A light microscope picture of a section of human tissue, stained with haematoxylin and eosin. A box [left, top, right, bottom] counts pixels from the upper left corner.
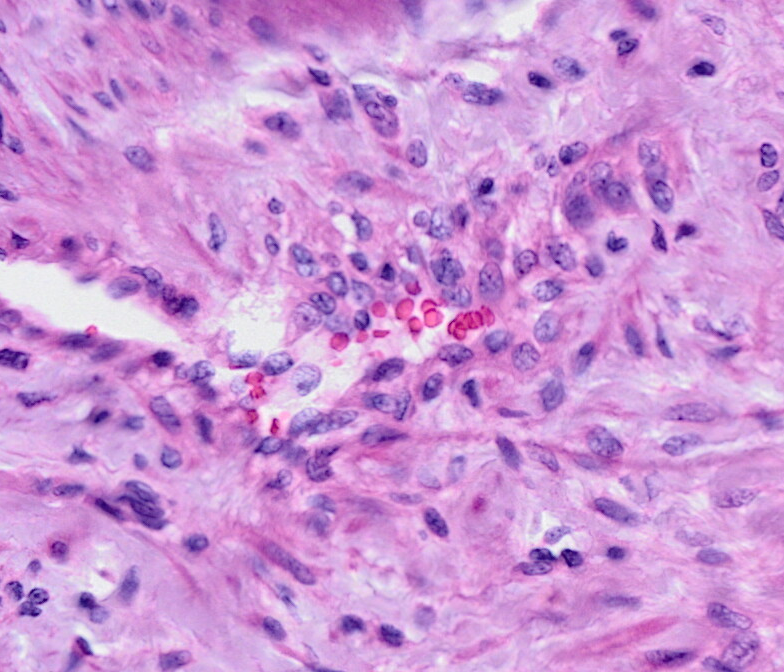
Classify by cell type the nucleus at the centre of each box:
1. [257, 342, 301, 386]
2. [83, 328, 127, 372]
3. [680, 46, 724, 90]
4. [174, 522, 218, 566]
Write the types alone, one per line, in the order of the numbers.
endothelial cell
endothelial cell
lymphocyte
endothelial cell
